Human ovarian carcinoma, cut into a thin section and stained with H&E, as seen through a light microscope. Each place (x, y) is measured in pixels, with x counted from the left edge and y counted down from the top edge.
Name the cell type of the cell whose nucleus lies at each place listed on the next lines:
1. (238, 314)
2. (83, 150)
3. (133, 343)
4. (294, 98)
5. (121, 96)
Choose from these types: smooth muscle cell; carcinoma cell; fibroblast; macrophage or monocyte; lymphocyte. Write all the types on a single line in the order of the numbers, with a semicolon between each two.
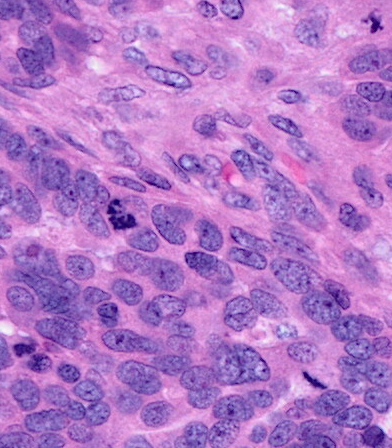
carcinoma cell; fibroblast; carcinoma cell; fibroblast; fibroblast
